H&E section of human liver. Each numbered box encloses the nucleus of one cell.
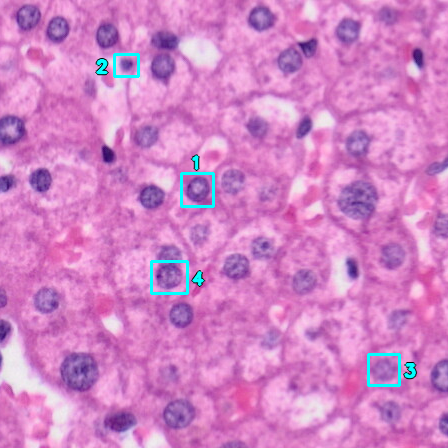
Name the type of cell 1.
hepatocyte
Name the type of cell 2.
lymphocyte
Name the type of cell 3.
hepatocyte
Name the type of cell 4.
hepatocyte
